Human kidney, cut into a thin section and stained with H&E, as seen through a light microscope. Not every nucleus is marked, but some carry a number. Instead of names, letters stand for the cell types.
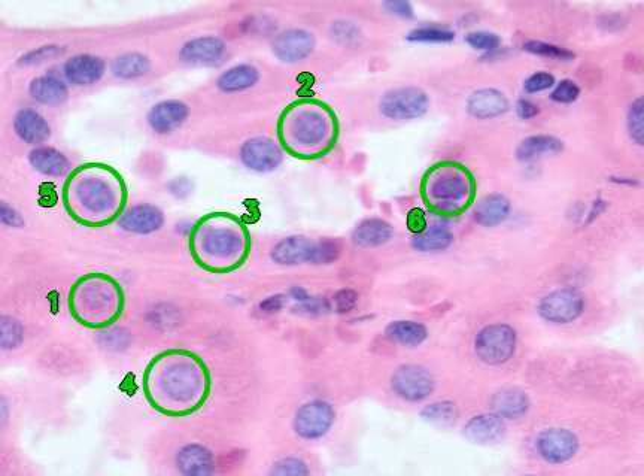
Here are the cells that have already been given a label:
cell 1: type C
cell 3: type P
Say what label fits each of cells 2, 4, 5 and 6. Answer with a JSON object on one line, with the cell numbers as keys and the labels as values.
{"2": "type P", "4": "type C", "5": "type P", "6": "type P"}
